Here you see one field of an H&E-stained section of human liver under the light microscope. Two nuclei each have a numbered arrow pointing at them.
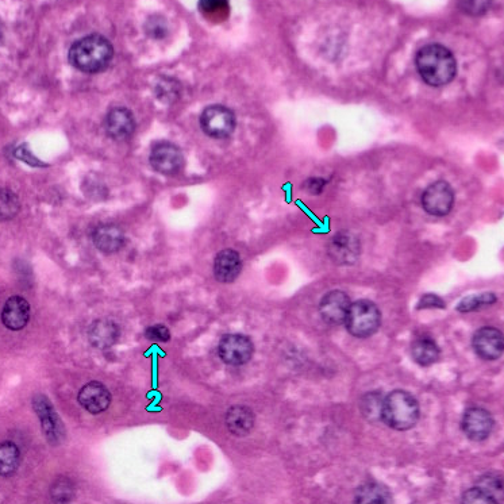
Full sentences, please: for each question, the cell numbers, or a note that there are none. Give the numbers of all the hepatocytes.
The only cell among those numbered to be a hepatocyte is number 1.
